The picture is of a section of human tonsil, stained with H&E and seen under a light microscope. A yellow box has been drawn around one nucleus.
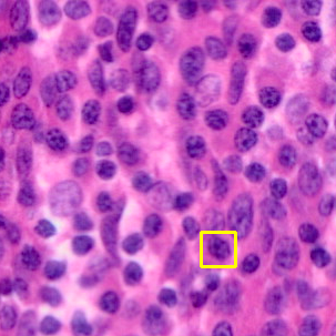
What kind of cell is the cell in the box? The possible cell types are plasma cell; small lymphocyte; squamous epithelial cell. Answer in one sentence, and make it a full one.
Cell type answer for this item: the cell in the box is a plasma cell.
